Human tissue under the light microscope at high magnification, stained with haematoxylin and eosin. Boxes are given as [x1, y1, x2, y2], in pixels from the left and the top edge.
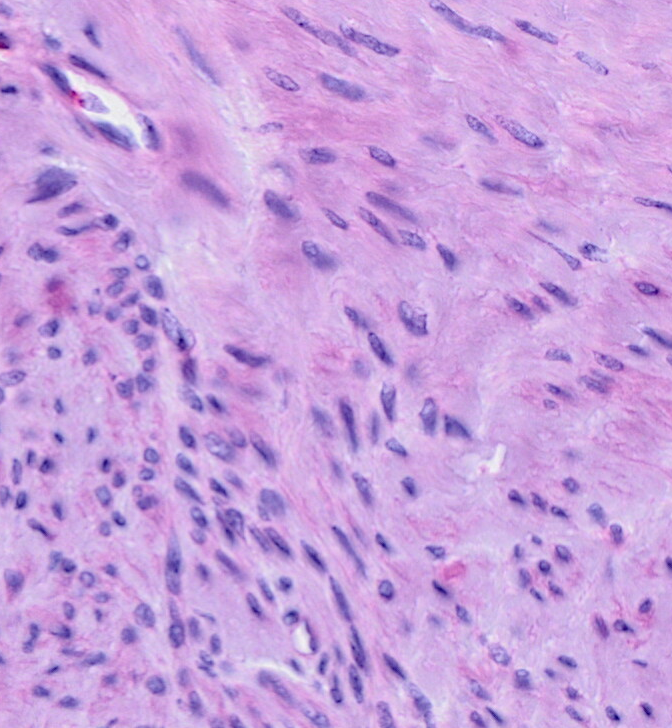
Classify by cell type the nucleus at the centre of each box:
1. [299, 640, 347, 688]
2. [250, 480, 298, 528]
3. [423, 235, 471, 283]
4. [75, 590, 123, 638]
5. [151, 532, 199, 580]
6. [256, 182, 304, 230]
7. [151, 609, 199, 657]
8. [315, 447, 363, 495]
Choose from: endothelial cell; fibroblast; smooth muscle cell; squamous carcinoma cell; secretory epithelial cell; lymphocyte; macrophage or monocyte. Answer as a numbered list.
1. fibroblast
2. fibroblast
3. fibroblast
4. smooth muscle cell
5. smooth muscle cell
6. fibroblast
7. smooth muscle cell
8. smooth muscle cell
